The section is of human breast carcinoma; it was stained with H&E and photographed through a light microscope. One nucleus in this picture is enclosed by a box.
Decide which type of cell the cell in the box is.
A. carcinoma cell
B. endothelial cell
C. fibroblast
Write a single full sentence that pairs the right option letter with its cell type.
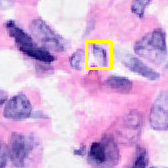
Option B is the correct one, since the cell in the box is an endothelial cell.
